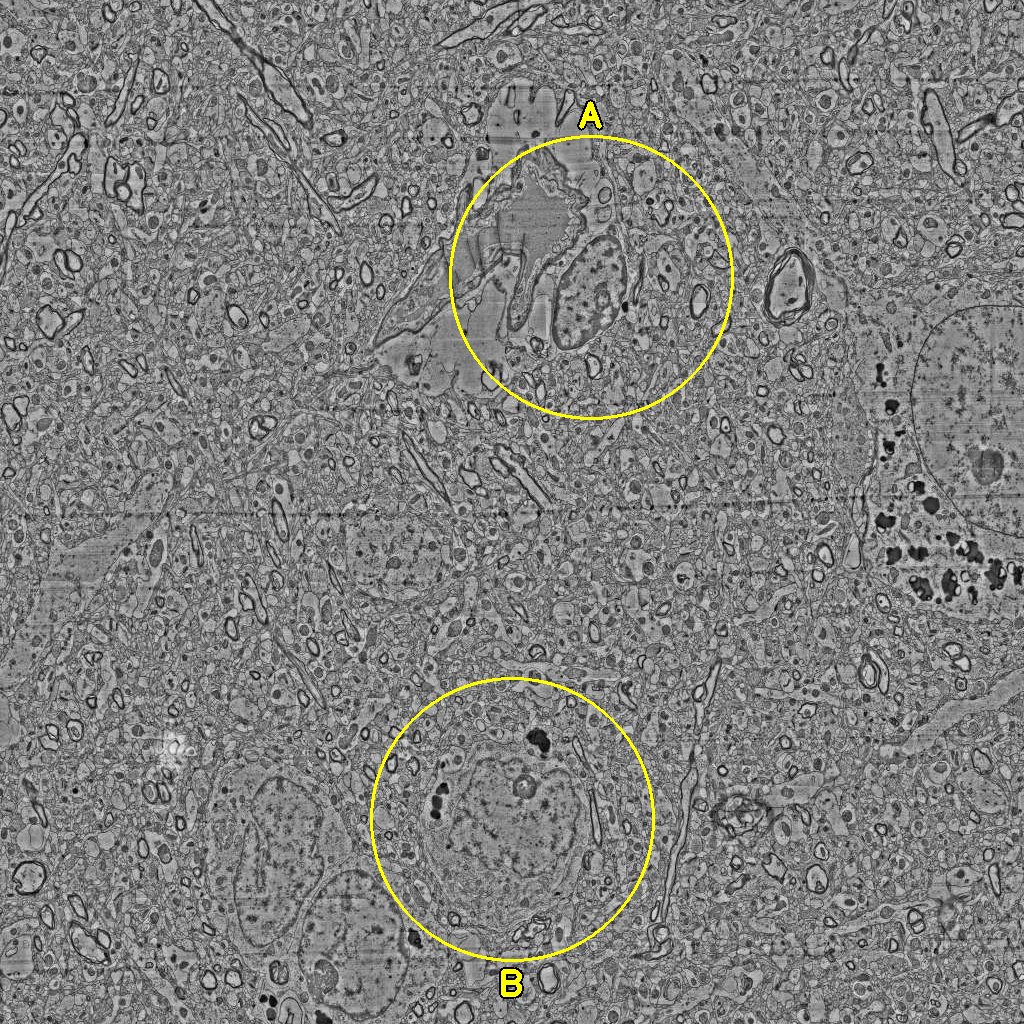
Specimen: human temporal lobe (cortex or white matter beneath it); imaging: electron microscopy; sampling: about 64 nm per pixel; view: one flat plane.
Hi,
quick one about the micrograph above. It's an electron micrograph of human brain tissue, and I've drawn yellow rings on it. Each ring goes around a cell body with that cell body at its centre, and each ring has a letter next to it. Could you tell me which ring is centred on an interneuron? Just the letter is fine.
B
